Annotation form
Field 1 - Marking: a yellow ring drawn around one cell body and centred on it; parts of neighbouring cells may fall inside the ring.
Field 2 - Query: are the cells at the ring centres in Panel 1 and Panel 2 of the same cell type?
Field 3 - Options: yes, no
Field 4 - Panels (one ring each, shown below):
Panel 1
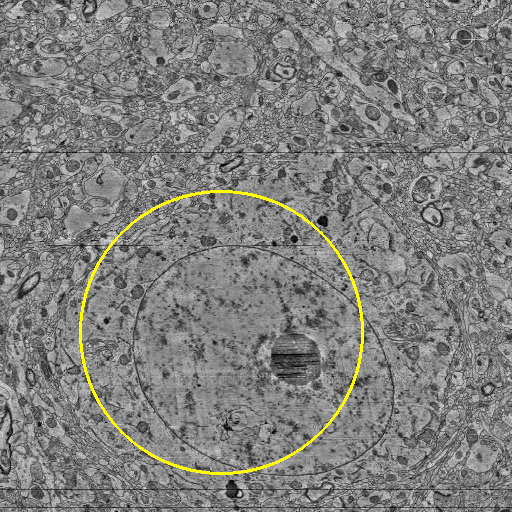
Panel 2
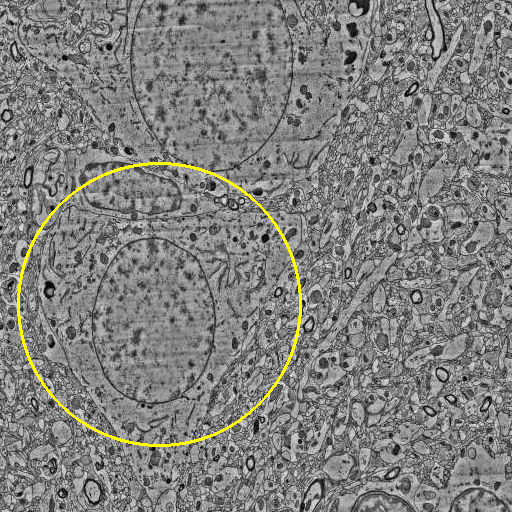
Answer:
yes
